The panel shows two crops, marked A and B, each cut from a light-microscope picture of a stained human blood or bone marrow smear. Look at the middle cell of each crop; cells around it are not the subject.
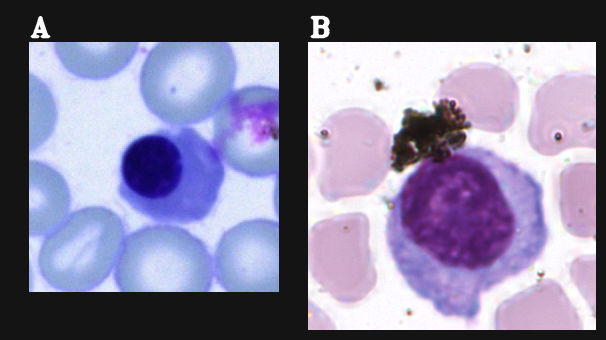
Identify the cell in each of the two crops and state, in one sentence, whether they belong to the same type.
No, crop A and crop B show an erythroblast and a plasma cell respectively.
